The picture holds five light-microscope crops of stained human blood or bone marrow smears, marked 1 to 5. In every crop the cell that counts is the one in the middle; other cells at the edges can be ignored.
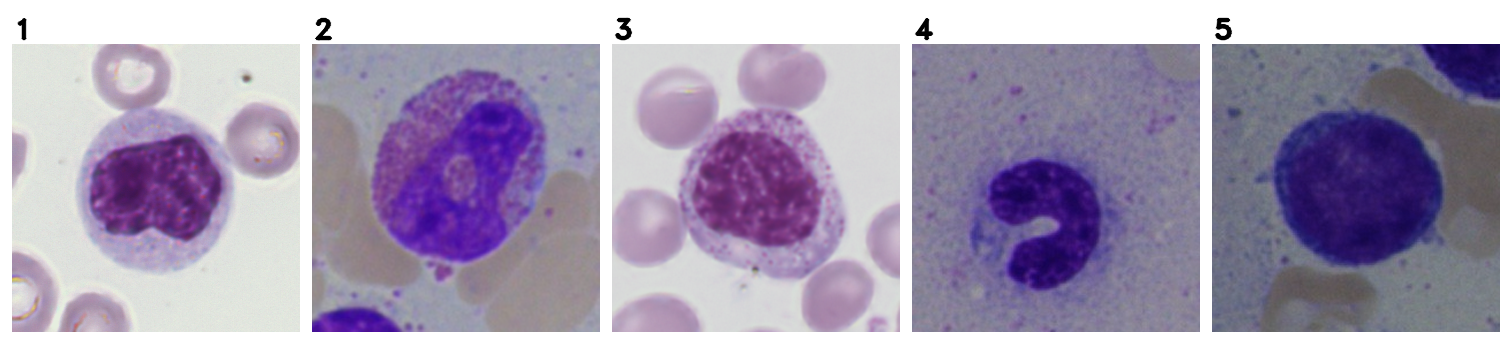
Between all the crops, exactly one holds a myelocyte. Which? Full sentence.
The crop with a myelocyte at its center is crop 3.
